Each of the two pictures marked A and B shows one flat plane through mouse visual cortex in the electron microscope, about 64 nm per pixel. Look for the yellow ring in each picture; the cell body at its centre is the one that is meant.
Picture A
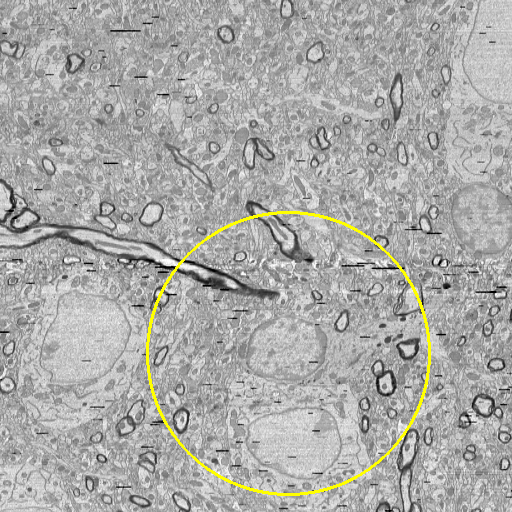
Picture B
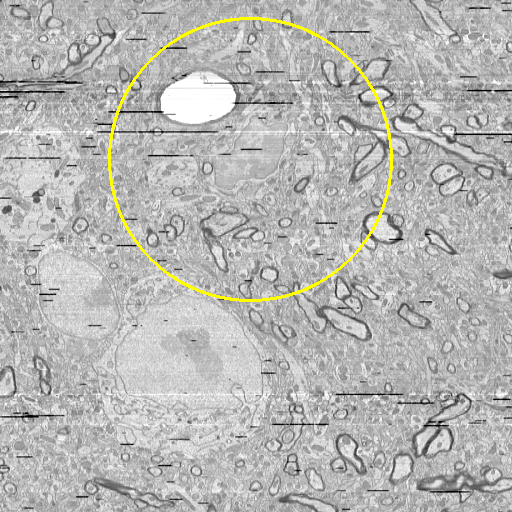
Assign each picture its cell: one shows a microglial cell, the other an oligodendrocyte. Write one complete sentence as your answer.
In picture A the cell is an oligodendrocyte; in picture B, a microglial cell.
